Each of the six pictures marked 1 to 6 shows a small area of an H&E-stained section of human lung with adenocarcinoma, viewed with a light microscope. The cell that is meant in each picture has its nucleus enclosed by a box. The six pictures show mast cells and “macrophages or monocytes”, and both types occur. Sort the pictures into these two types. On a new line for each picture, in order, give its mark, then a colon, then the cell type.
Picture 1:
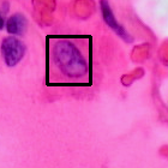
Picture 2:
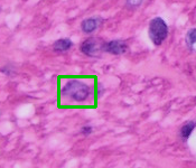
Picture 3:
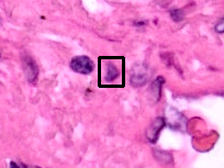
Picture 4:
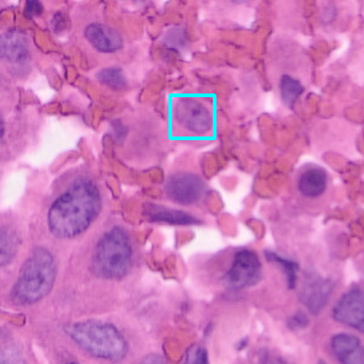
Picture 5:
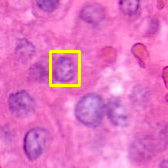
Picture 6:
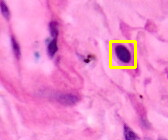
1: macrophage or monocyte
2: mast cell
3: mast cell
4: macrophage or monocyte
5: macrophage or monocyte
6: mast cell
